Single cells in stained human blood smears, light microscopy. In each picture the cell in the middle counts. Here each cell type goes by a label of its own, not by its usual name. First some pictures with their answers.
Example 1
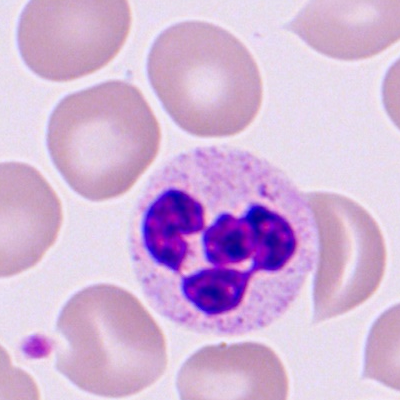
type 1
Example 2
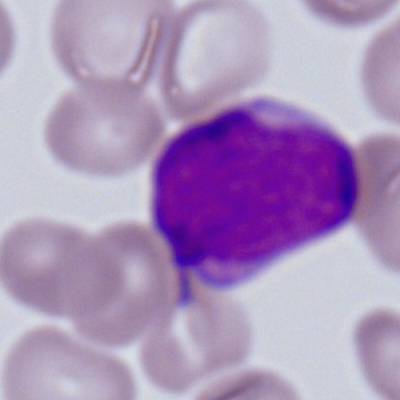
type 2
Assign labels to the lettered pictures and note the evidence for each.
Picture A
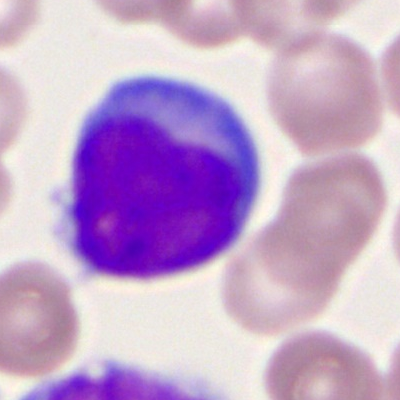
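Answer: type 2. The nucleus fills most of the cell.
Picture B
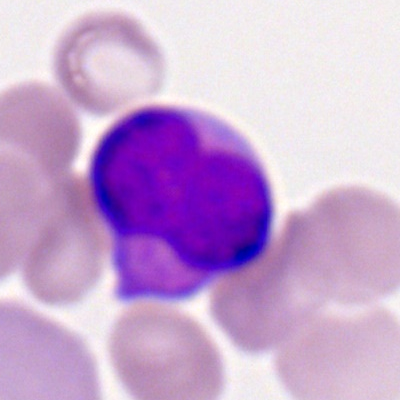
Answer: type 2. The cytoplasm is scant and widest at the bottom of the cell.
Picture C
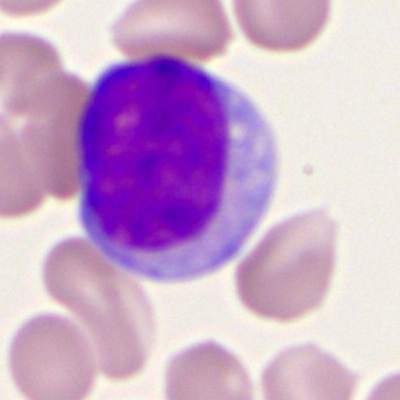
Answer: type 2. The nucleus fills most of the cell.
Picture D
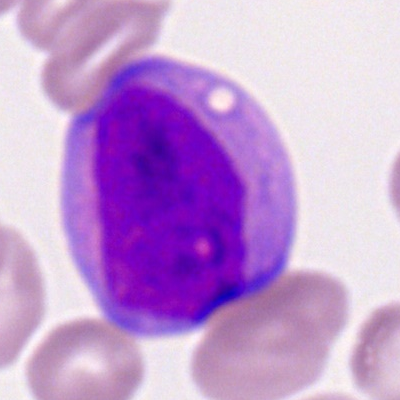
Answer: type 2. The nucleus fills most of the cell and sits toward the left side.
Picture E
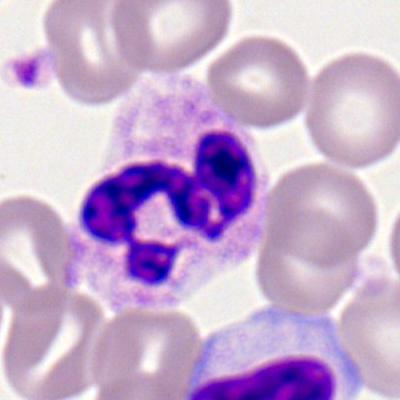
Answer: type 1. The cytoplasm is abundant and pale pink-lilac.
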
